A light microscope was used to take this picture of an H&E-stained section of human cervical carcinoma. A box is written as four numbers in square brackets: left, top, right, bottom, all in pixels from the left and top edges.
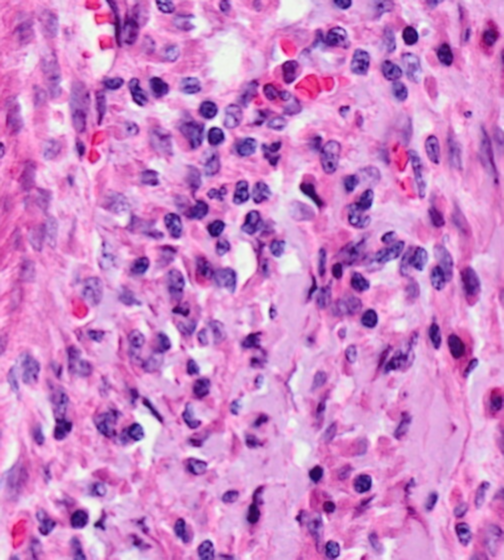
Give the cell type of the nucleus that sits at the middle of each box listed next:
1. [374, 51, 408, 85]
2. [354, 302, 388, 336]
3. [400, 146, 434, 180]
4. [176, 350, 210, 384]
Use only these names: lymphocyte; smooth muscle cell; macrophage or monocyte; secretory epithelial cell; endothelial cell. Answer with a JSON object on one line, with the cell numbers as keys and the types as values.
{"1": "lymphocyte", "2": "lymphocyte", "3": "endothelial cell", "4": "lymphocyte"}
